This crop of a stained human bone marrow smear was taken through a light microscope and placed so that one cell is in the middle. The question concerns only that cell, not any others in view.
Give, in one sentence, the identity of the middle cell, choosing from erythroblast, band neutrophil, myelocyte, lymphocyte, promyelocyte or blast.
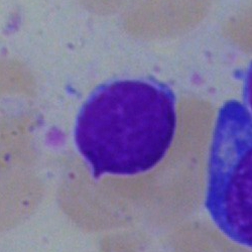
The central cell in this smear crop is a lymphocyte.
